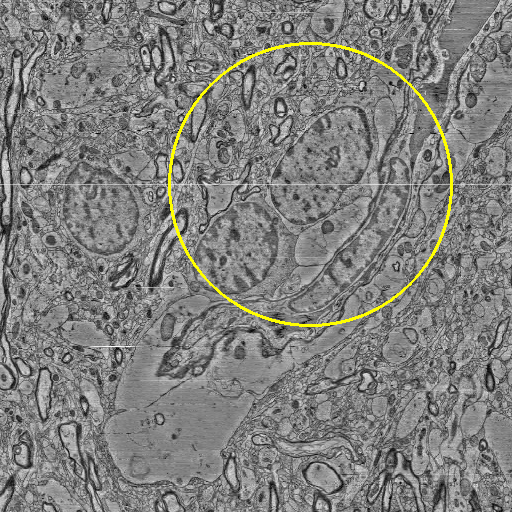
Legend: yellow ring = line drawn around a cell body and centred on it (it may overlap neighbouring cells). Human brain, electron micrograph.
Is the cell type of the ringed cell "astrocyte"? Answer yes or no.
no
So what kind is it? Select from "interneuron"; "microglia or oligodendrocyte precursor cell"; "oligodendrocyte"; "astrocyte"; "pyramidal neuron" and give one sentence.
Sitting at the ring centre is a microglial cell or oligodendrocyte precursor cell.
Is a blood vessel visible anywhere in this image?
Yes.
